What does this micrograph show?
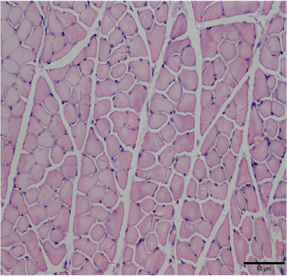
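Skeletal muscle fibers are seen in cross section as small, rounded to polygonal pale pink profiles, many more of them in the field than in normal muscle. Small dark nuclei sit at their edges, and the fibers are grouped into bundles separated by pale bands.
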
